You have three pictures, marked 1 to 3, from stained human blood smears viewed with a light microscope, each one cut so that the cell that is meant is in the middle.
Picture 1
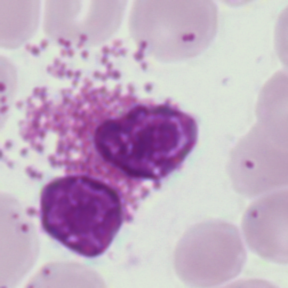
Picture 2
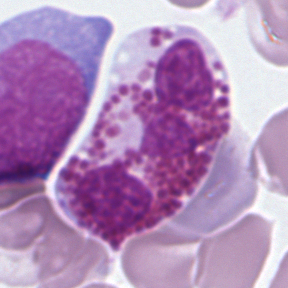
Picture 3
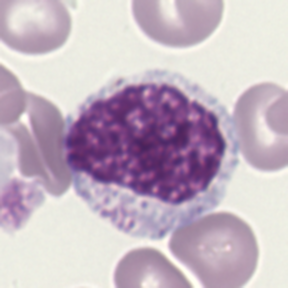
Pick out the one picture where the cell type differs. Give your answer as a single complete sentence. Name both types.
All pictures except 3 show eosinophils; picture 3 shows a myelocyte.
